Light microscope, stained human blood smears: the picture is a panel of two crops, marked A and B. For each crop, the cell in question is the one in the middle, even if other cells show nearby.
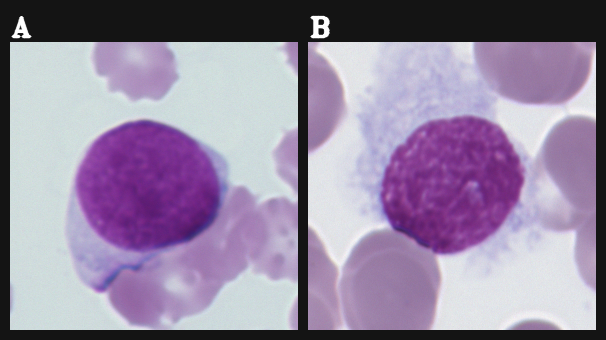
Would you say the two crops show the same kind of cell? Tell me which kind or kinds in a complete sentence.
No, just to correct that: crop A shows a blast, crop B shows a hairy cell.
